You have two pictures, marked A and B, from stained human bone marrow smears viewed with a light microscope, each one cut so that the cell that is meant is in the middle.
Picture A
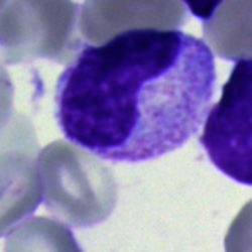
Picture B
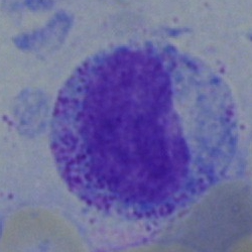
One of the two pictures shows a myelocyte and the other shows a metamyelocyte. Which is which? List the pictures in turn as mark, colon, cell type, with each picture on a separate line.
A: metamyelocyte
B: myelocyte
